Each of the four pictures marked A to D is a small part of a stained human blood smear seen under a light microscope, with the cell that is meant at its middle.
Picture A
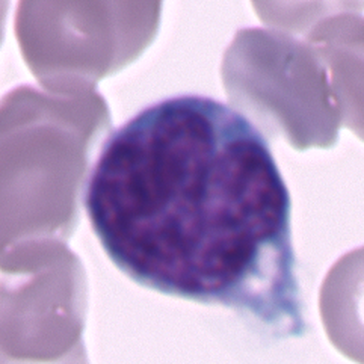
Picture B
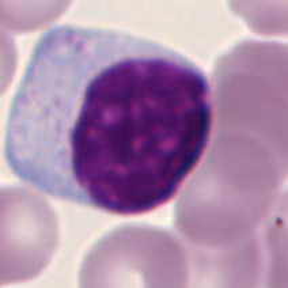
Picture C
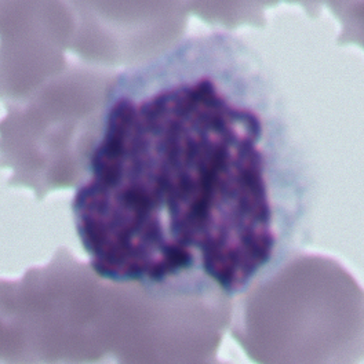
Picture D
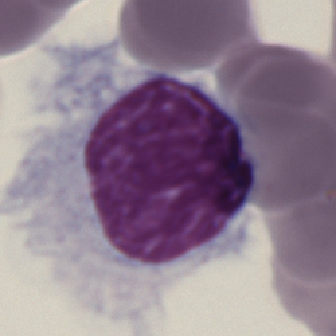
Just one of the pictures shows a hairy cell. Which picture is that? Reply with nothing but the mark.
D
